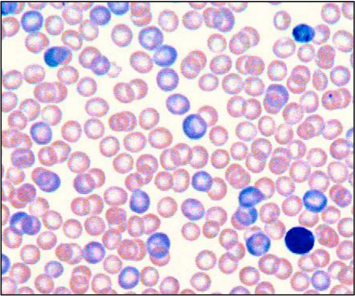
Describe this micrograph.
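This peripheral blood smear shows densely packed red blood cells, most of them round, anucleate and pink with a paler centre. A considerable number of the red cells are tinted bluish-grey rather than pink, and these tinted cells tend to be larger than their neighbours. The blue-tinged cells are scattered evenly across the field among the pink cells. A single larger cell with a dark, dense purple nucleus lies near the lower right. The size of the red cells varies visibly across the field.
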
